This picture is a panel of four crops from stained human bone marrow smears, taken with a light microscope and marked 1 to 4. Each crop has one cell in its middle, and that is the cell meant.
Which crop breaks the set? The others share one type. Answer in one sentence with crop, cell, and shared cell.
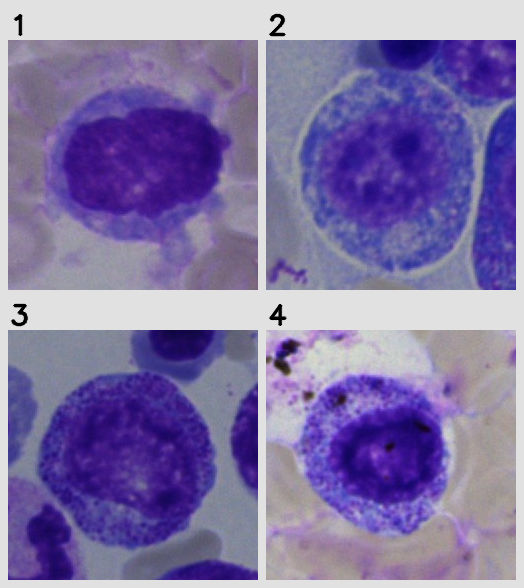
Crop 4 differs: it is a myelocyte, and all the other crops show promyelocytes.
